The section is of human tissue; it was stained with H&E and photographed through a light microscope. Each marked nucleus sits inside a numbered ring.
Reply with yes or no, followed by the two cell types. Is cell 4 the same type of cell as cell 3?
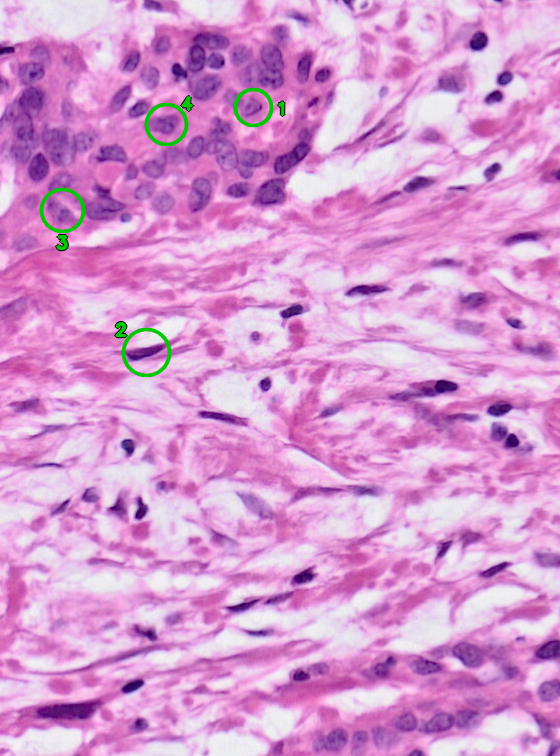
Yes, cells 4 and 3 are carcinoma cells, both of them.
